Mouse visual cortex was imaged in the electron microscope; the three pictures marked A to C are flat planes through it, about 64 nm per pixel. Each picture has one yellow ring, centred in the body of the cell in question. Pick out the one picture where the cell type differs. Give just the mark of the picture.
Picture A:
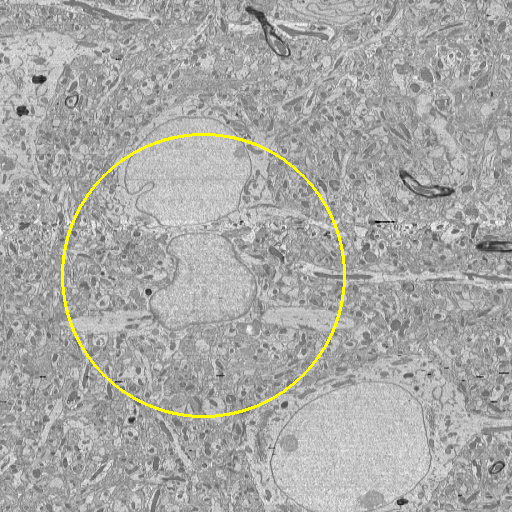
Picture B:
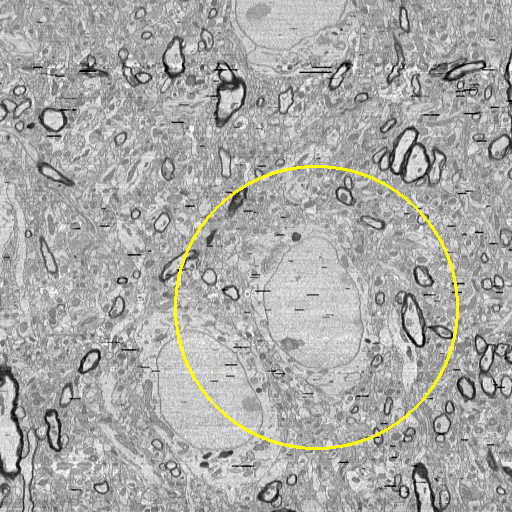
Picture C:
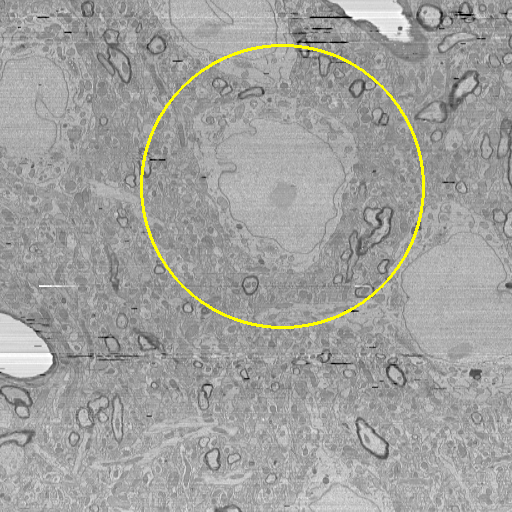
A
